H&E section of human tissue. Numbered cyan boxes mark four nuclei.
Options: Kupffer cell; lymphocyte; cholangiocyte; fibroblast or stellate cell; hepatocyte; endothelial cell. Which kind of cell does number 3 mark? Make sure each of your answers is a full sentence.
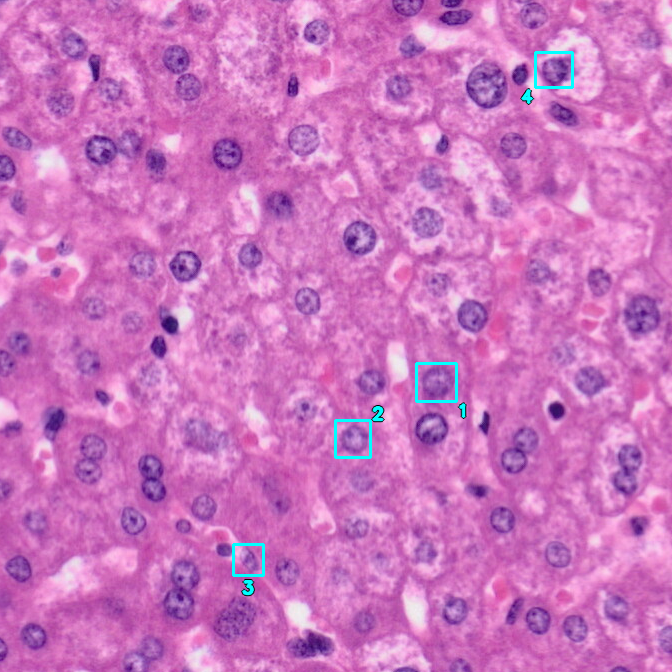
Number 3 among the marked cells is an endothelial cell.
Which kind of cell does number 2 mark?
The cell pointed out by number 2 is a hepatocyte.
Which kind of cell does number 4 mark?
The cell carrying label 4 is identified as a hepatocyte.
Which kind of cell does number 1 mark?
The marked cell bearing number 1 is a hepatocyte.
